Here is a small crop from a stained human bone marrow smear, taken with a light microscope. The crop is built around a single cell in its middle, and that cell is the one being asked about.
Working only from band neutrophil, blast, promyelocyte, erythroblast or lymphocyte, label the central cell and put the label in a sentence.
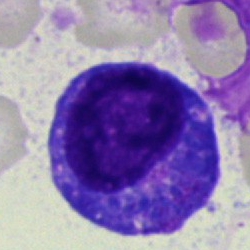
In the central position of this crop, the cell is a promyelocyte.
